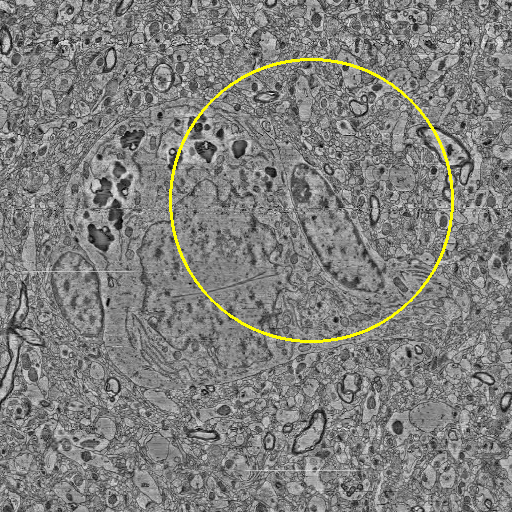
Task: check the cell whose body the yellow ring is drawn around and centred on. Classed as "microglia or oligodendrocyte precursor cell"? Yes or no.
Yes, it is classed that way.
